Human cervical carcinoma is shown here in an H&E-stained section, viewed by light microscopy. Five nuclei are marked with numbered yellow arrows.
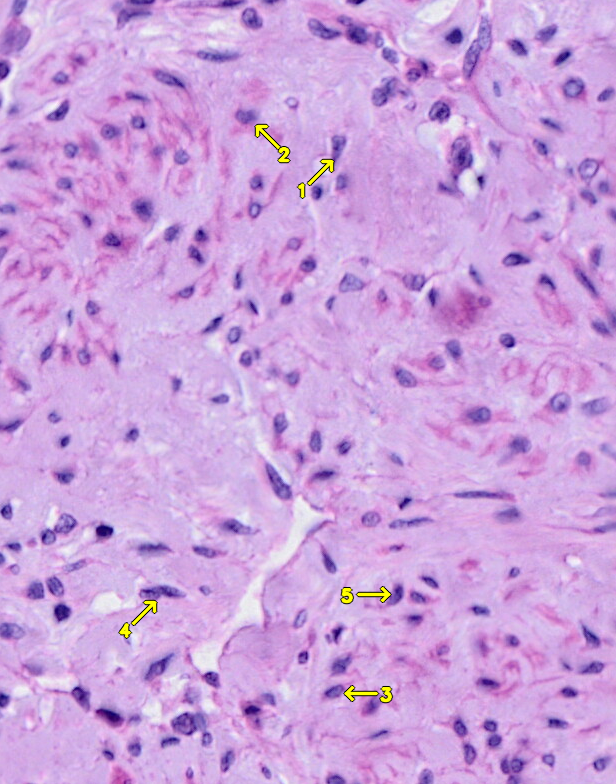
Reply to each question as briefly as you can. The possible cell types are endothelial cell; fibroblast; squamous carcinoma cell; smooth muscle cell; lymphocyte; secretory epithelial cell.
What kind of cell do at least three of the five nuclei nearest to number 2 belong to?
smooth muscle cell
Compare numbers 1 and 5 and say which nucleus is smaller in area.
5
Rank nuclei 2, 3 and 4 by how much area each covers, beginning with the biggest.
4, 2, 3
